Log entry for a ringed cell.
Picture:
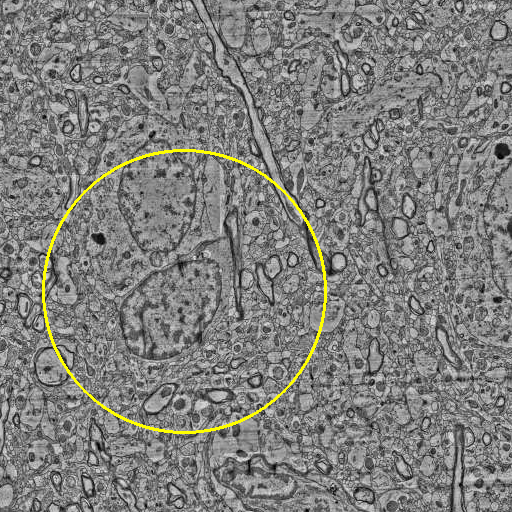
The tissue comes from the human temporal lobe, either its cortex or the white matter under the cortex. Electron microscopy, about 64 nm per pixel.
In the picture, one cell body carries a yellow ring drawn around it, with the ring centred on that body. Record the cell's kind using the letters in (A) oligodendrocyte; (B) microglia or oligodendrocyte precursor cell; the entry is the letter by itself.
A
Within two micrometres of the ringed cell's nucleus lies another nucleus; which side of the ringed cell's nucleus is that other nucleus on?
The other nucleus lies above it.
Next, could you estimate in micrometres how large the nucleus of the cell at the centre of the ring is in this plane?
Roughly 8 by 5 micrometres; in this plane, clearly longer than it is wide.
